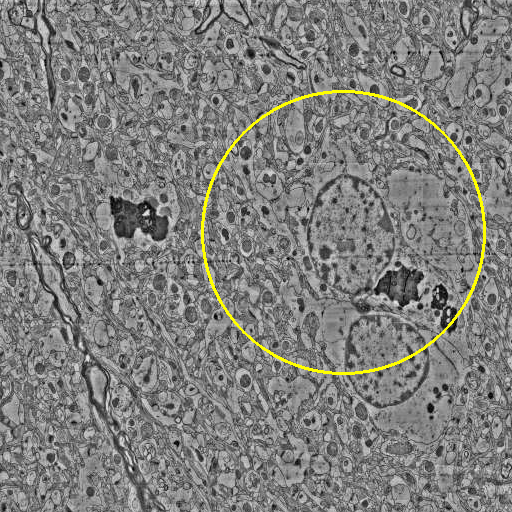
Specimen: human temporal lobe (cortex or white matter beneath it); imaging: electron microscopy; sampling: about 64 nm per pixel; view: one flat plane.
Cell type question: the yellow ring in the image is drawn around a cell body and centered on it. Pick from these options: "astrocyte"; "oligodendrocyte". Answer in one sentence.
The ringed cell at the center is an astrocyte.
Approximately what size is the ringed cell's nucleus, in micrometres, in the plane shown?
In this plane the nucleus spans approximately 8 by 6 micrometers.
